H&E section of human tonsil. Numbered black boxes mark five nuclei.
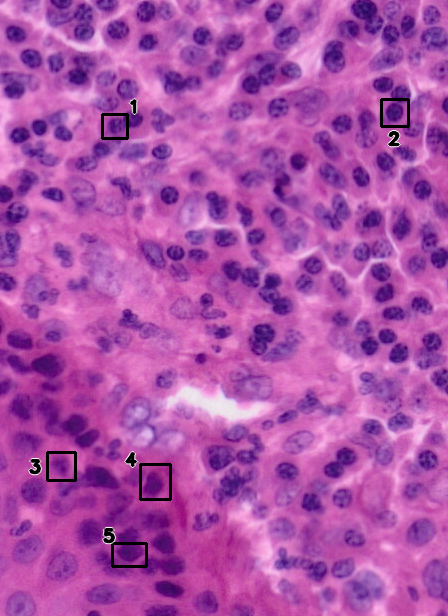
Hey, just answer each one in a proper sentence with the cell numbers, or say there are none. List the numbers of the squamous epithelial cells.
To be specific, the cells numbered 3, 4 and 5 are squamous epithelial cells.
